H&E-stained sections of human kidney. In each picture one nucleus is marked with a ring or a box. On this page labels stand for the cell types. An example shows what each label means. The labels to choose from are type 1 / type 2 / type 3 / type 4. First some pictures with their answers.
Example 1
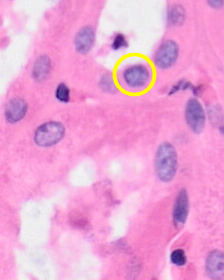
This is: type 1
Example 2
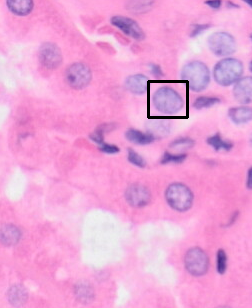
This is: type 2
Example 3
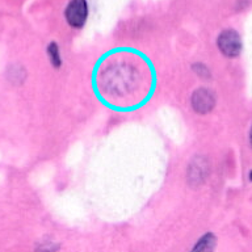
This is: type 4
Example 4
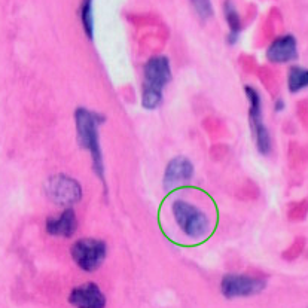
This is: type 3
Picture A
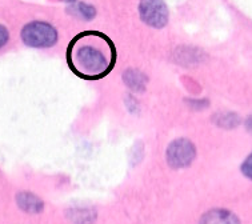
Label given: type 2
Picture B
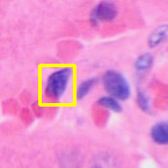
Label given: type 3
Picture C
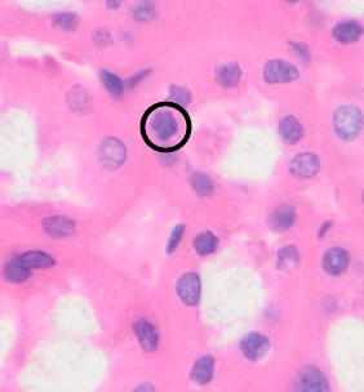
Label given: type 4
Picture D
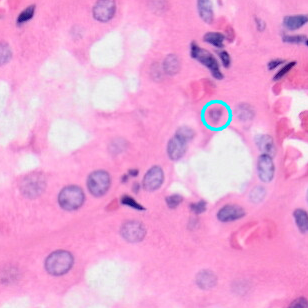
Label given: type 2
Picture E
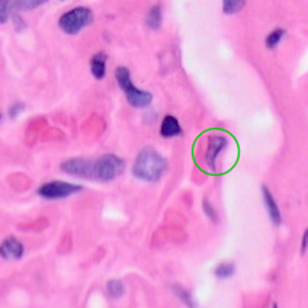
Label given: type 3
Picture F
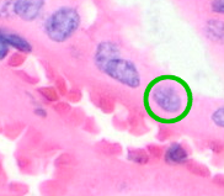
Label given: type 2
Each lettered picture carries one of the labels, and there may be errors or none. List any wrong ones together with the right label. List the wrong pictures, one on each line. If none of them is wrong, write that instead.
A: not type 2 but type 1
C: not type 4 but type 1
